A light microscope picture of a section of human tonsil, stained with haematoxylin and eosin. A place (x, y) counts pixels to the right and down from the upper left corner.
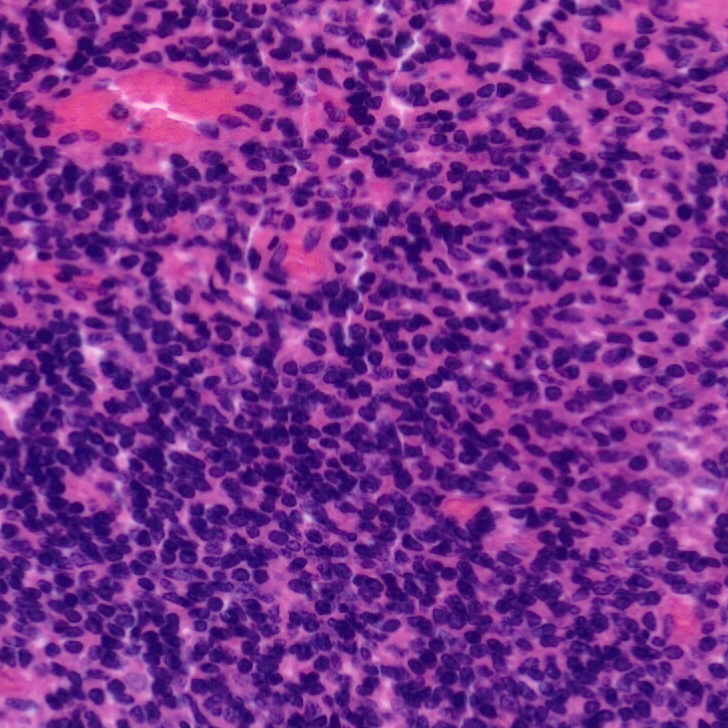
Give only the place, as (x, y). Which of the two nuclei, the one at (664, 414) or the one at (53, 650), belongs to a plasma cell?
(664, 414)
